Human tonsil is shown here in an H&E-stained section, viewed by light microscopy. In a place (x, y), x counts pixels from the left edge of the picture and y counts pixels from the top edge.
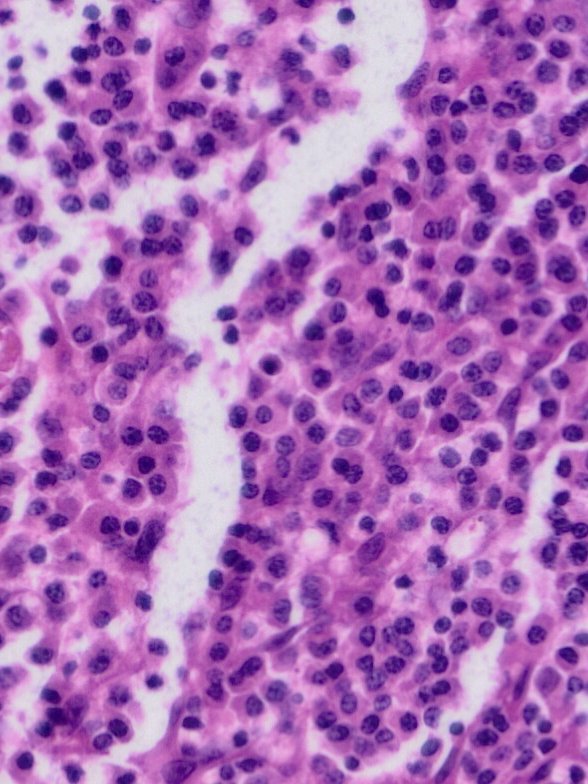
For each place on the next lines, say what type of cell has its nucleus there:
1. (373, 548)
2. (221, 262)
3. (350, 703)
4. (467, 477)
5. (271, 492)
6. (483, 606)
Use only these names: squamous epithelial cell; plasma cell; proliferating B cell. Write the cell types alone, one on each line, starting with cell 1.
squamous epithelial cell
squamous epithelial cell
plasma cell
plasma cell
squamous epithelial cell
plasma cell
